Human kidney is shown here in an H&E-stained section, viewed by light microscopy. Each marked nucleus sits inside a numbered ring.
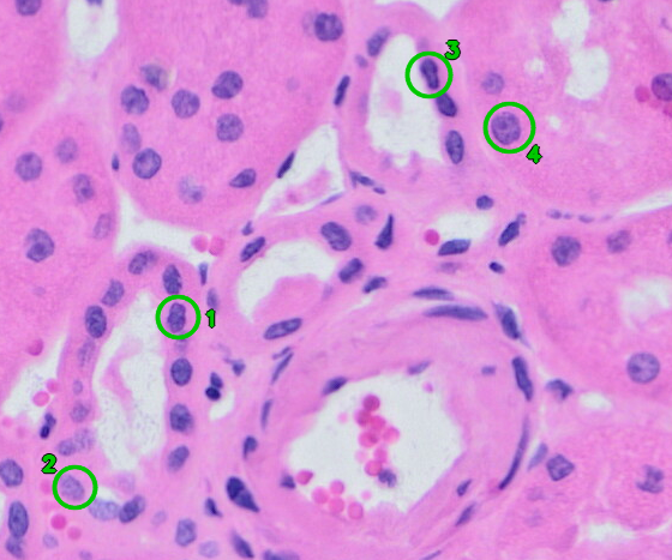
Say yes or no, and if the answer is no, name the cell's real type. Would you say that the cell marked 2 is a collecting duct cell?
Yes.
